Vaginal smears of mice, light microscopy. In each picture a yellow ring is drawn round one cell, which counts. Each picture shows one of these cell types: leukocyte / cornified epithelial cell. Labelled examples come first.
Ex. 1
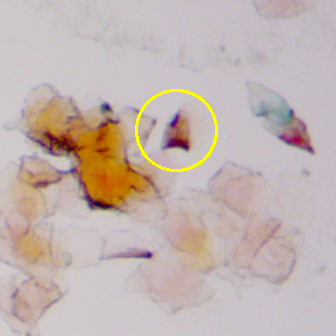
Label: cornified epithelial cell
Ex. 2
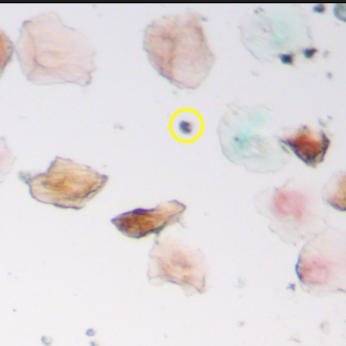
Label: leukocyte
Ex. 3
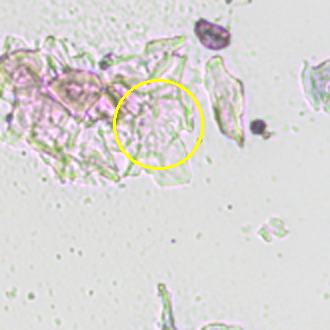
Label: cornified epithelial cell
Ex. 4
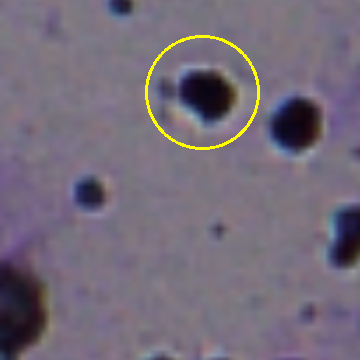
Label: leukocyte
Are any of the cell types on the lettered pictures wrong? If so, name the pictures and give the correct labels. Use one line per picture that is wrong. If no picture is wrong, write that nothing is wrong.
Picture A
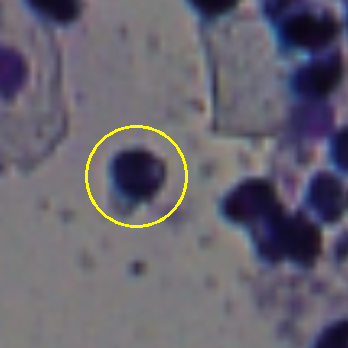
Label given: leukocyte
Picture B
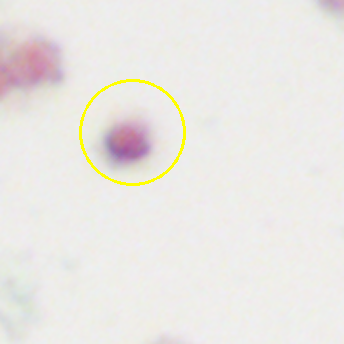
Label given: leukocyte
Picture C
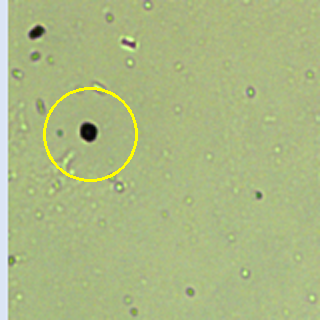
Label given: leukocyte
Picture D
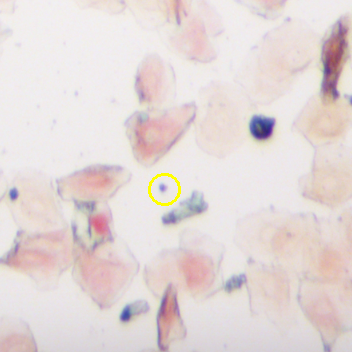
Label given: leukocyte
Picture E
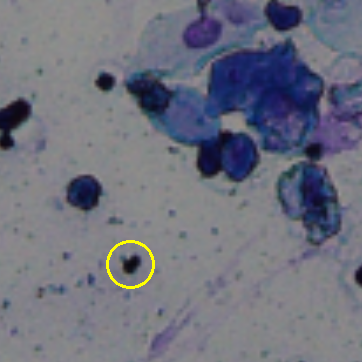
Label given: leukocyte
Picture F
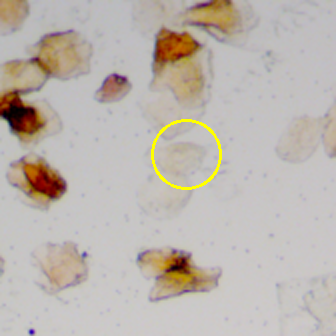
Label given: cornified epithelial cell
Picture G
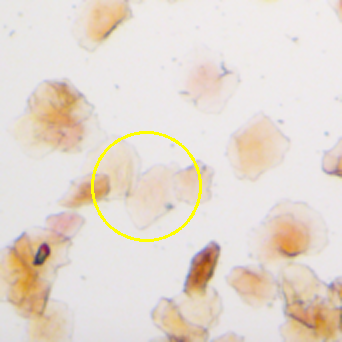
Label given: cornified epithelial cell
No label is wrong.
